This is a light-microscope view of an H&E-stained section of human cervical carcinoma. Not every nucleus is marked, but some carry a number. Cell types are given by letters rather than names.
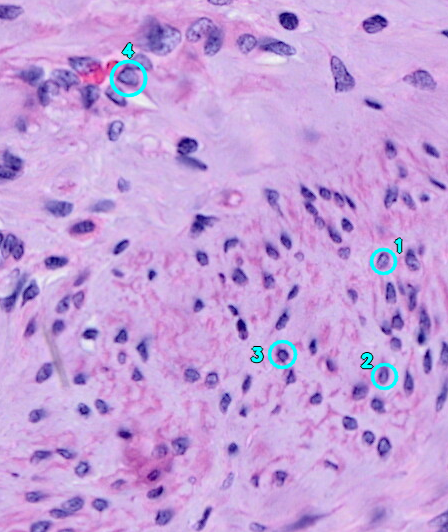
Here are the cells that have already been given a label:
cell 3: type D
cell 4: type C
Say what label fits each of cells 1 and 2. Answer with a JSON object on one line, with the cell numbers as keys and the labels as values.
{"1": "type D", "2": "type D"}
